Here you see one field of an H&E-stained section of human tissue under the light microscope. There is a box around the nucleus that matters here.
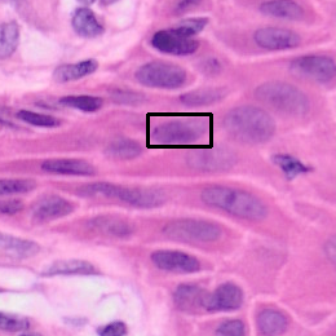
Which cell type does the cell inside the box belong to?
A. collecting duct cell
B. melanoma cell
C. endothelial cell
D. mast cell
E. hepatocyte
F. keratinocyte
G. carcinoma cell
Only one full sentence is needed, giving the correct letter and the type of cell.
In keeping with option F, the cell inside the box is a keratinocyte.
